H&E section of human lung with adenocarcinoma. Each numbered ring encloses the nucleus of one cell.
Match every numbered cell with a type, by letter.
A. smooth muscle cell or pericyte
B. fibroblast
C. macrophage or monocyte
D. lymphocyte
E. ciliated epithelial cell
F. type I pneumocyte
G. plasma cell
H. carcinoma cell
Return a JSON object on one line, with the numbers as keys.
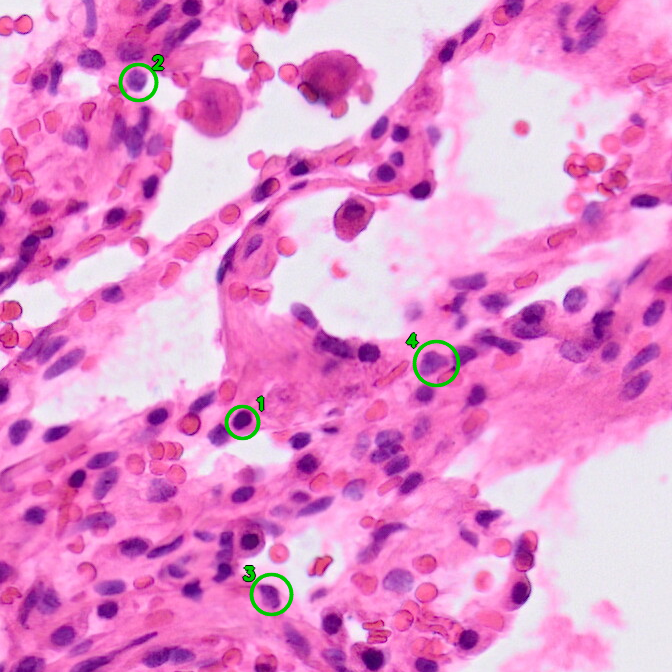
{"1": "D", "2": "F", "3": "F", "4": "F"}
